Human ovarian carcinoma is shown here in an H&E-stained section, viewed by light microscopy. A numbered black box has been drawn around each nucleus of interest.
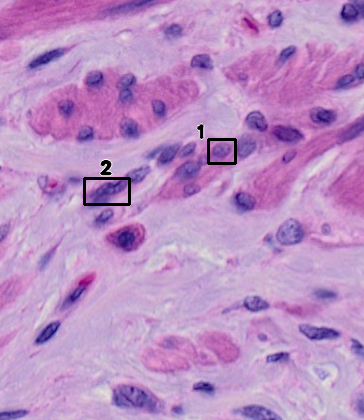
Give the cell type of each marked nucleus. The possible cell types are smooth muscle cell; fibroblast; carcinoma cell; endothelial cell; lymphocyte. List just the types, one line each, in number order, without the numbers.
smooth muscle cell
endothelial cell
